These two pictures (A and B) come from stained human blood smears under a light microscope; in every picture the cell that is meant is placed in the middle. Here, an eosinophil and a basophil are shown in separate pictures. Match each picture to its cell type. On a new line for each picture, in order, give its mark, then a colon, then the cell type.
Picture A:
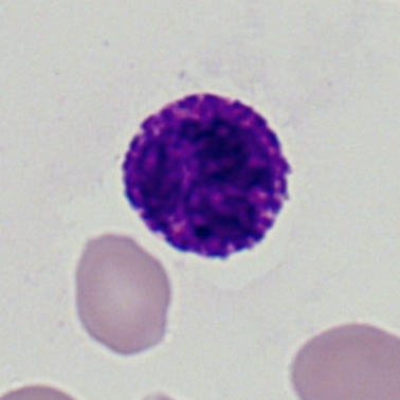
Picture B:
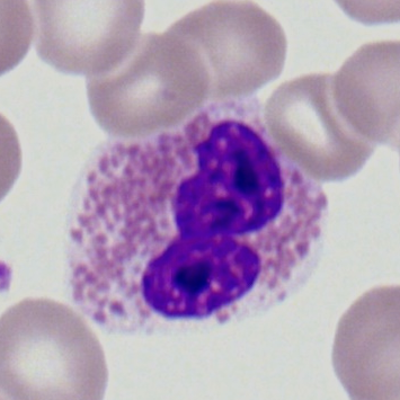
A: basophil
B: eosinophil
